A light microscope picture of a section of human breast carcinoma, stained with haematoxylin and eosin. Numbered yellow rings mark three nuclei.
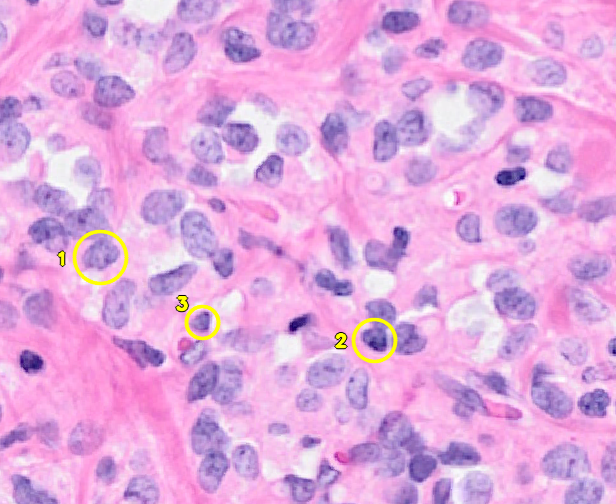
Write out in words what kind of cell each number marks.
Cell 1 is a carcinoma cell, cell 2 is a lymphocyte and cell 3 is an endothelial cell.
